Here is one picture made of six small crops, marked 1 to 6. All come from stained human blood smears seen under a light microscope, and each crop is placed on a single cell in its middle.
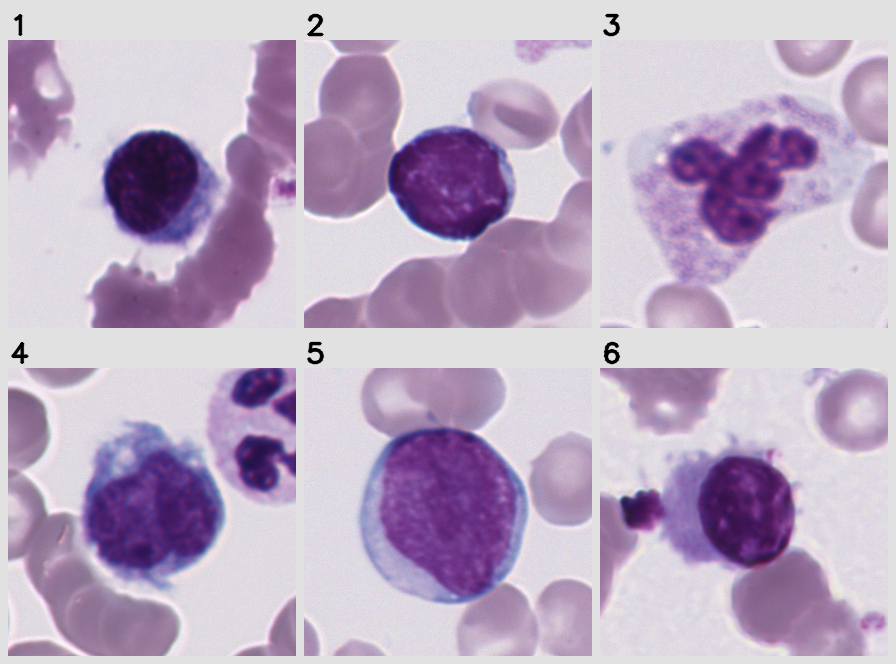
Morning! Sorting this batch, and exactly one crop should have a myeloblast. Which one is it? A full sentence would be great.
Only in crop 5 is a myeloblast shown.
